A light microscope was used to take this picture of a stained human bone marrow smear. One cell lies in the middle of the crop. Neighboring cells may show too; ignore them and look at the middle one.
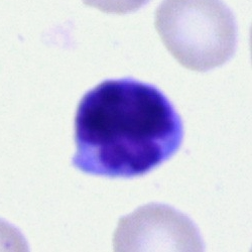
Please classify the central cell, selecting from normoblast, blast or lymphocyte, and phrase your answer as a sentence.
This crop's central cell is a lymphocyte.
